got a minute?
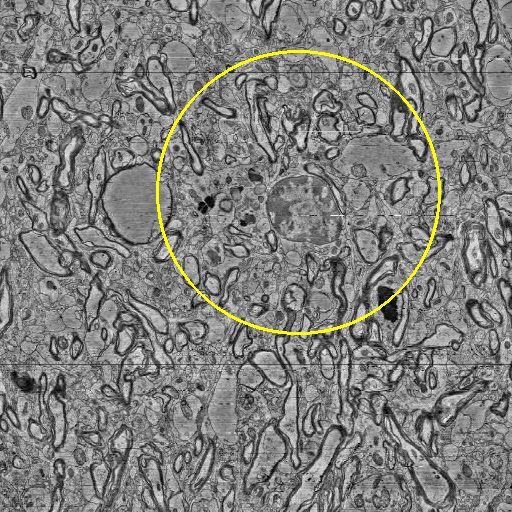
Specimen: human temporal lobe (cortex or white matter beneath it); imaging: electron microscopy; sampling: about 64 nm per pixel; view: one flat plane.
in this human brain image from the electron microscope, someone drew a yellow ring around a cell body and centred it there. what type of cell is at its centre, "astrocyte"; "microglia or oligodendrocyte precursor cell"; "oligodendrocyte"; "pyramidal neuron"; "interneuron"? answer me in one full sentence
It's a microglial cell or oligodendrocyte precursor cell at the middle of that yellow ring in the shot.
